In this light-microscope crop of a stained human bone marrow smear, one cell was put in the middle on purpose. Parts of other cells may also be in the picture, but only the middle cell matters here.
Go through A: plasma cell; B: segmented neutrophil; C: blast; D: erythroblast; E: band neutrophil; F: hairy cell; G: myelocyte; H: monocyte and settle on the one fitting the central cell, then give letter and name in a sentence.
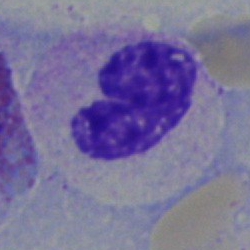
Option E is the keyed answer: the cell in the middle is a band neutrophil.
